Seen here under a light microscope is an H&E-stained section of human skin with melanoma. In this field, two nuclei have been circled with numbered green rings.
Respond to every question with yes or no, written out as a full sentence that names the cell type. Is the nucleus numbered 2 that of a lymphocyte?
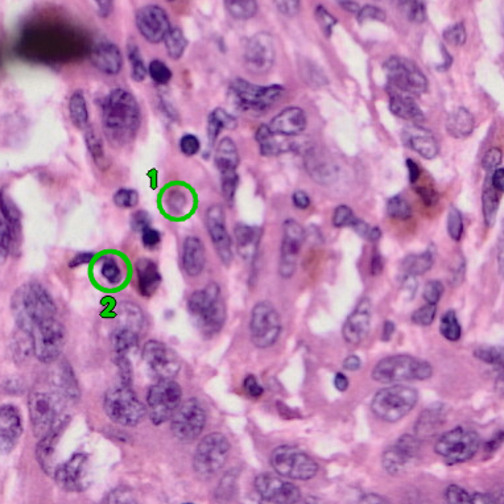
Yes, the cell labelled with number 2 is a lymphocyte.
